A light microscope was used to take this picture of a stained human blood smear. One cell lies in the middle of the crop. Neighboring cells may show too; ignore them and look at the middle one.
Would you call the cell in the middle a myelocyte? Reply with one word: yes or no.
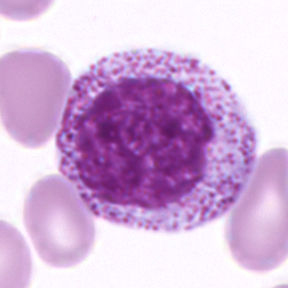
yes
